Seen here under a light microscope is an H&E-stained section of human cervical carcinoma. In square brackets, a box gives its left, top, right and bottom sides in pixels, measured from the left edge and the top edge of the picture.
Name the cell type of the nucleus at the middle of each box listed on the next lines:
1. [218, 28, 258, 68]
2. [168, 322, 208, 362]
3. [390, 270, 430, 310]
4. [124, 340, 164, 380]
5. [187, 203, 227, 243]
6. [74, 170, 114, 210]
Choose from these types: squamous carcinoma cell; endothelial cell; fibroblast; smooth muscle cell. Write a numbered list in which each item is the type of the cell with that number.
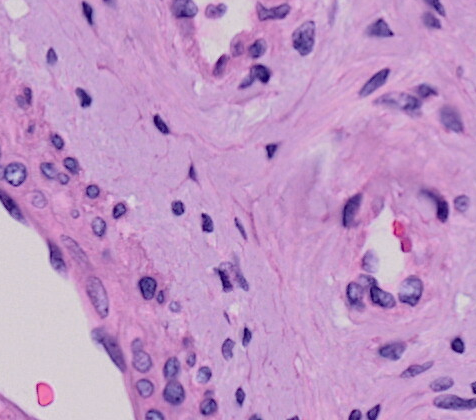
1. endothelial cell
2. smooth muscle cell
3. endothelial cell
4. smooth muscle cell
5. fibroblast
6. smooth muscle cell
